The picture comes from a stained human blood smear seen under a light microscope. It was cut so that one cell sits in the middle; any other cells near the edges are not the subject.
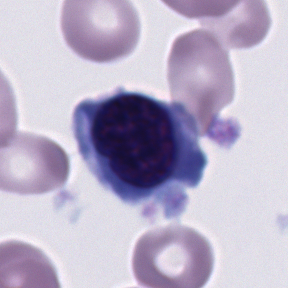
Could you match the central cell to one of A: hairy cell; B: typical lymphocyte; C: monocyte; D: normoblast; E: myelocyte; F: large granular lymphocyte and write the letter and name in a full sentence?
According to option D, which is correct, the cell in the middle is a normoblast.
